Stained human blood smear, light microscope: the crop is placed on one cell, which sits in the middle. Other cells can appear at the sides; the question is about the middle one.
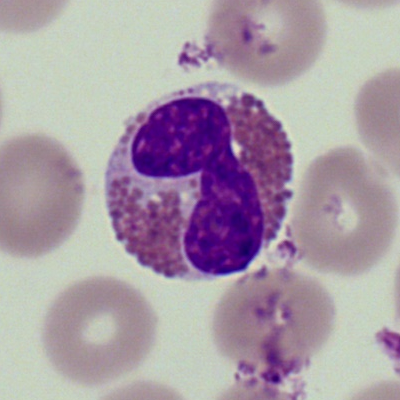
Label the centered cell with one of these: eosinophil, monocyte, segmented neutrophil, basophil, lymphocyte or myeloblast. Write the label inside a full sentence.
The cell centred in this crop is categorized as an eosinophil.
